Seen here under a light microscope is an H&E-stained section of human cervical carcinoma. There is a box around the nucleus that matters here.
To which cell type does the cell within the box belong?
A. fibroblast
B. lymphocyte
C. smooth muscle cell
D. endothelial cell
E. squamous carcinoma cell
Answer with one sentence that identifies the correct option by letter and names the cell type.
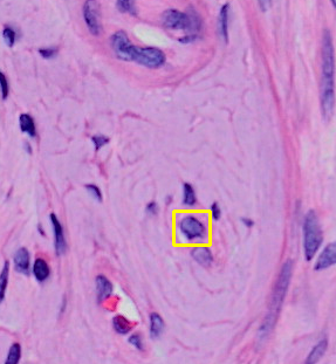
In agreement with option D, the cell within the box is an endothelial cell.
